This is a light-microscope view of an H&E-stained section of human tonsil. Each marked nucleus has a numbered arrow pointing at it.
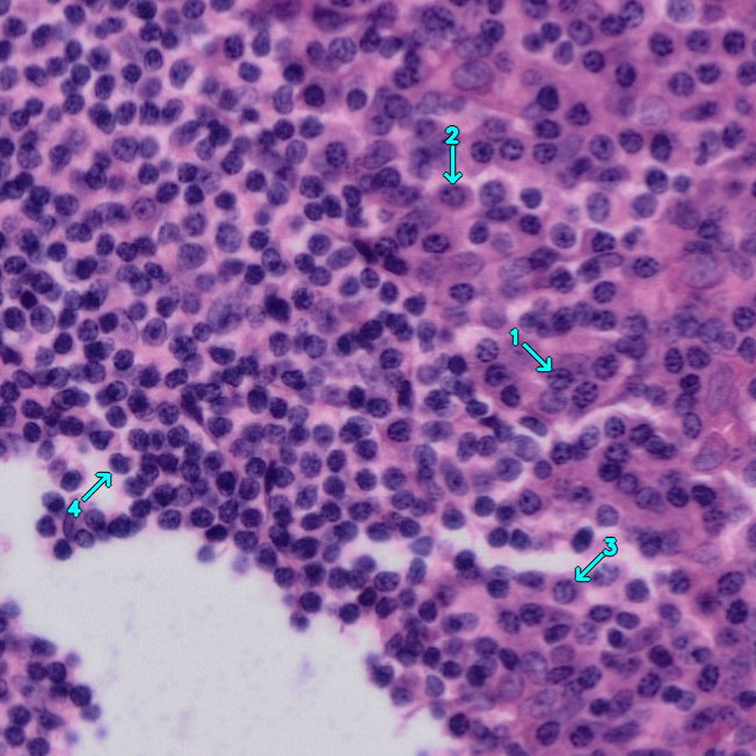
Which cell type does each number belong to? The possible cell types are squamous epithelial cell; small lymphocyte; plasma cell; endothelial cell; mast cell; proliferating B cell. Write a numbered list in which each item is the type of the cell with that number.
1. plasma cell
2. plasma cell
3. plasma cell
4. small lymphocyte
